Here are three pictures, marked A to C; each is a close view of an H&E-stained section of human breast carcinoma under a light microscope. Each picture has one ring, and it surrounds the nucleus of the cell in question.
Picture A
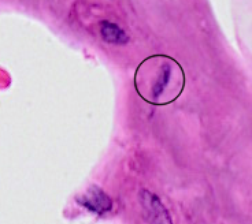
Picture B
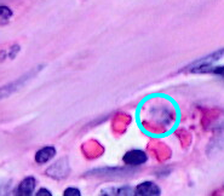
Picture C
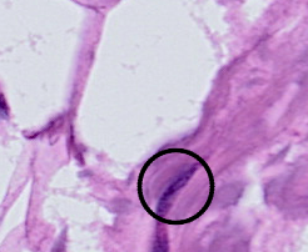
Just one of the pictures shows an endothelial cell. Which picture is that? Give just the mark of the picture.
B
